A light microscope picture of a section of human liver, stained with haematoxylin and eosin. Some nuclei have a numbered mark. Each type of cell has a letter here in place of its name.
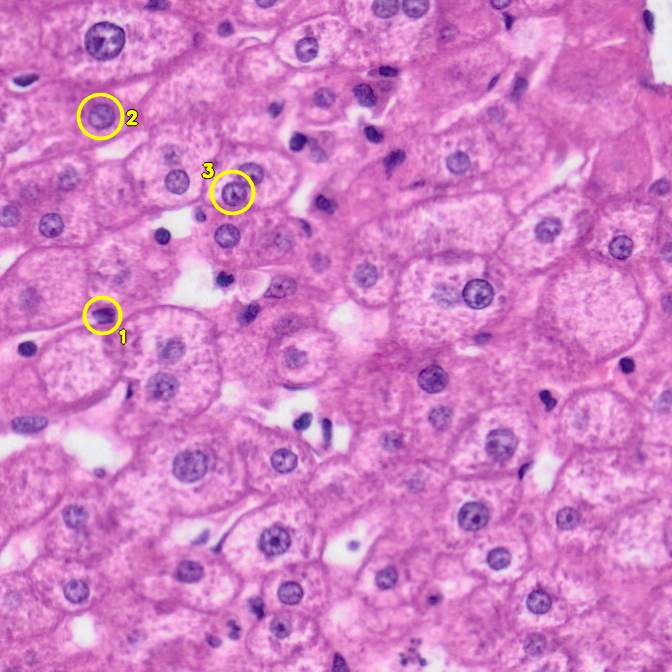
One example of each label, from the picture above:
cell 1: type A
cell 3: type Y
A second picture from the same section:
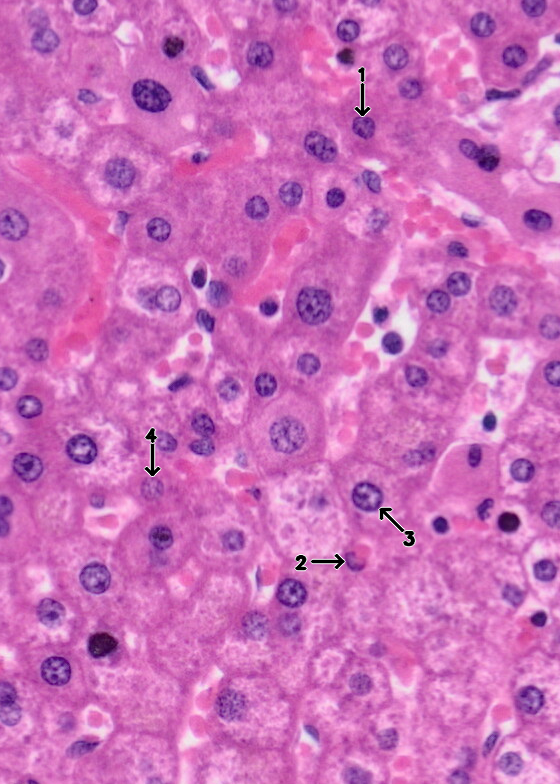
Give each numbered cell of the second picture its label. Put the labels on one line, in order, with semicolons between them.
type Y; type A; type Y; type Y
